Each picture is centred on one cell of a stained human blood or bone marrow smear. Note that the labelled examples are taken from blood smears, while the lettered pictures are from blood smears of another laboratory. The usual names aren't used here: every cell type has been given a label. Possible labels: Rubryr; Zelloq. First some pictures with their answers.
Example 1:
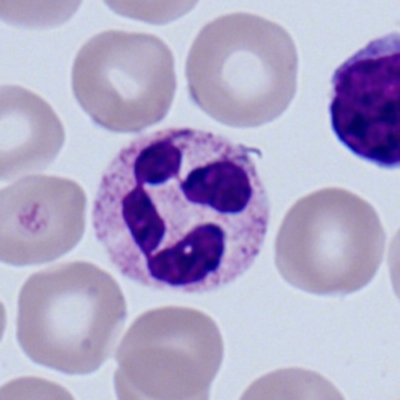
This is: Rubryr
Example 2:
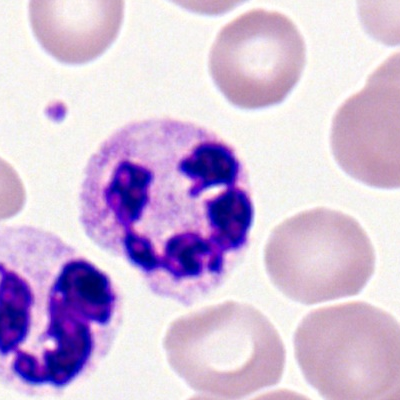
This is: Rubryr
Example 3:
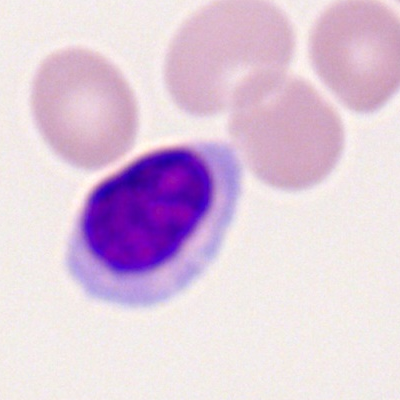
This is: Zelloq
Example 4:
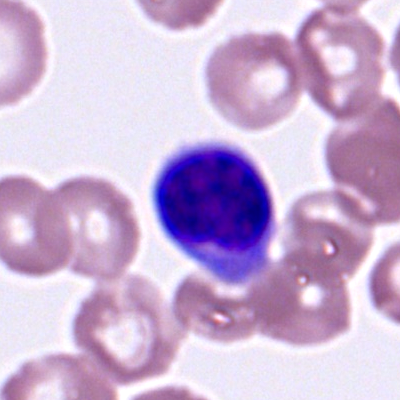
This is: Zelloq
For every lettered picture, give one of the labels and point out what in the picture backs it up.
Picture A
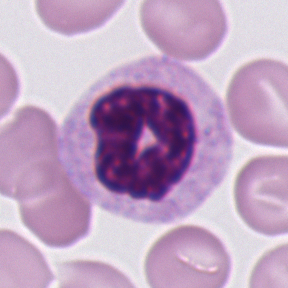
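Answer: Rubryr. A wide rim of pale lilac cytoplasm surrounds the nucleus.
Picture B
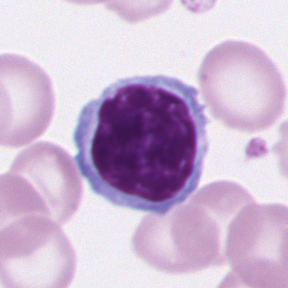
Answer: Zelloq. The cytoplasm forms a narrow pale blue rim around the nucleus.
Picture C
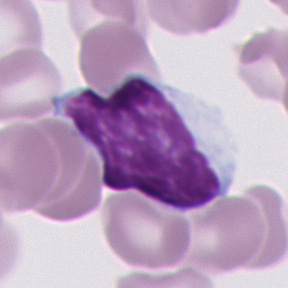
Answer: Zelloq. The cytoplasm is scant and lies mainly on the right side of the nucleus.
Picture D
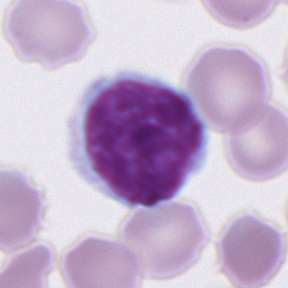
Answer: Zelloq. The cytoplasm forms only a thin rim around the nucleus.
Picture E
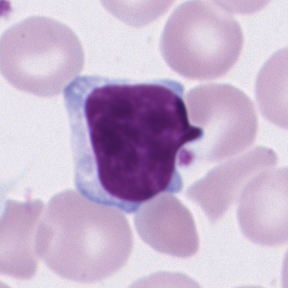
Answer: Zelloq. The nucleus fills most of the cell.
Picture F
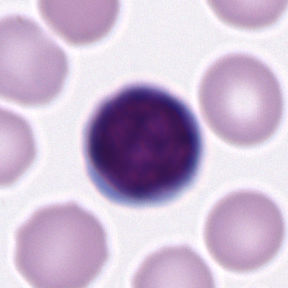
Answer: Zelloq. The nucleus fills almost the whole cell.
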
